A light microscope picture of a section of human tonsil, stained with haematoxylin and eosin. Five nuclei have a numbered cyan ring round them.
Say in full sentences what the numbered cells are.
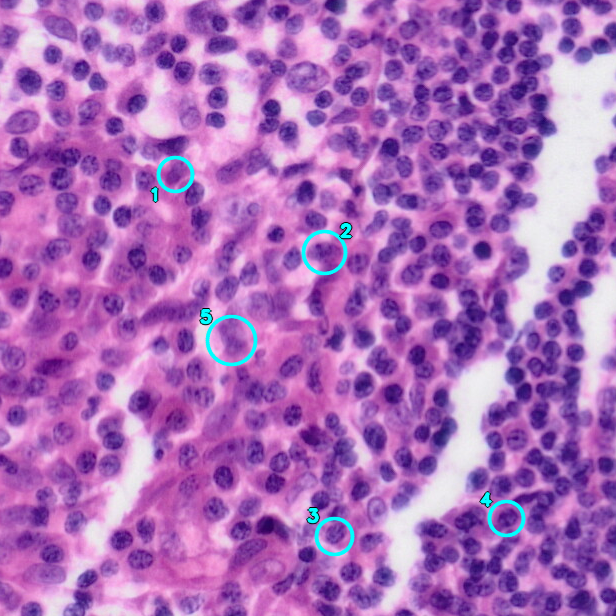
Cell 1 is a squamous epithelial cell, cell 2 is a squamous epithelial cell, cell 3 is a plasma cell, cell 4 is a plasma cell and cell 5 is a squamous epithelial cell.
